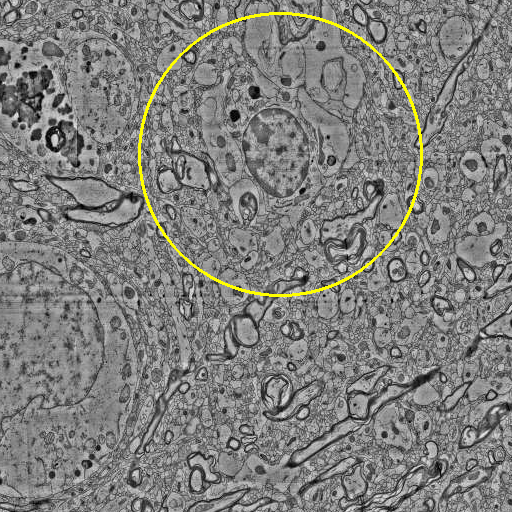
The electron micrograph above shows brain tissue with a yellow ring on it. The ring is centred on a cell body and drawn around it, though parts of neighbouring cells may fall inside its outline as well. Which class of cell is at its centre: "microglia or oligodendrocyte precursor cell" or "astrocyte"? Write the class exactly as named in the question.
microglia or oligodendrocyte precursor cell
